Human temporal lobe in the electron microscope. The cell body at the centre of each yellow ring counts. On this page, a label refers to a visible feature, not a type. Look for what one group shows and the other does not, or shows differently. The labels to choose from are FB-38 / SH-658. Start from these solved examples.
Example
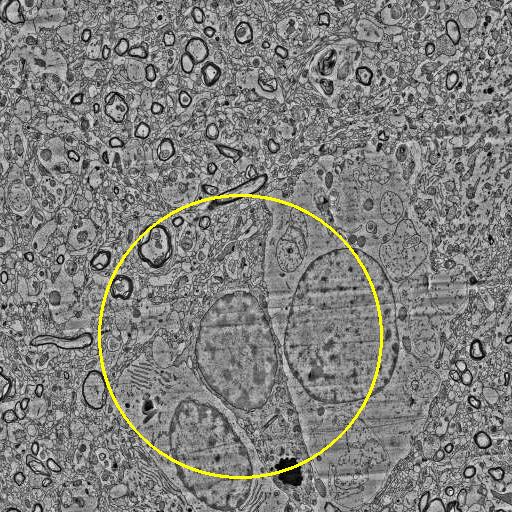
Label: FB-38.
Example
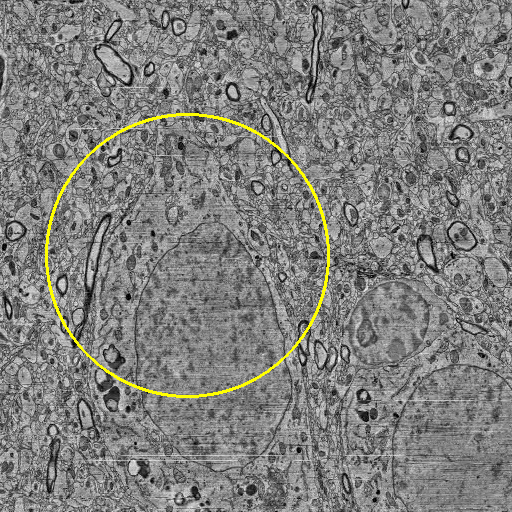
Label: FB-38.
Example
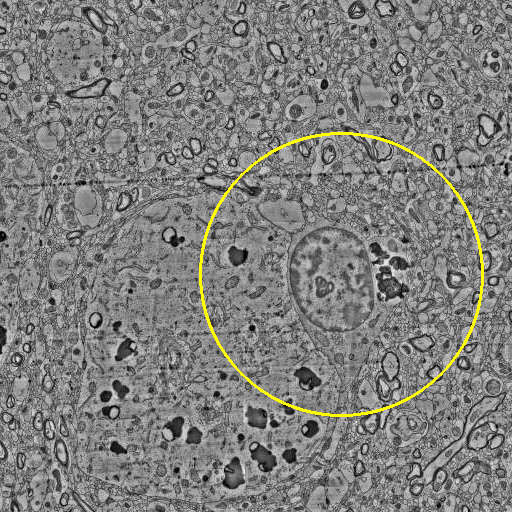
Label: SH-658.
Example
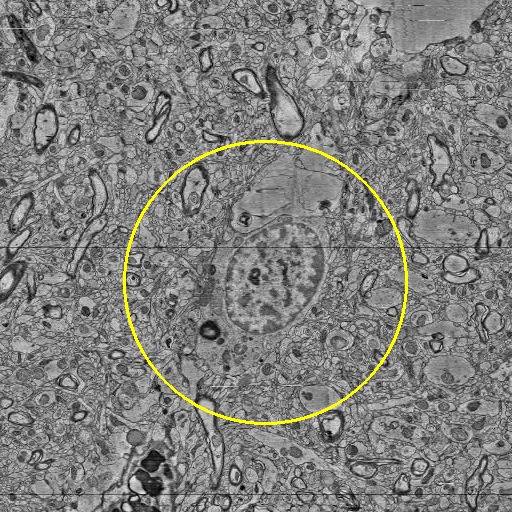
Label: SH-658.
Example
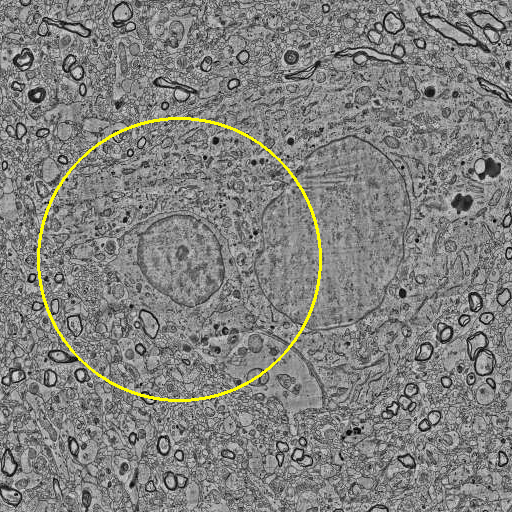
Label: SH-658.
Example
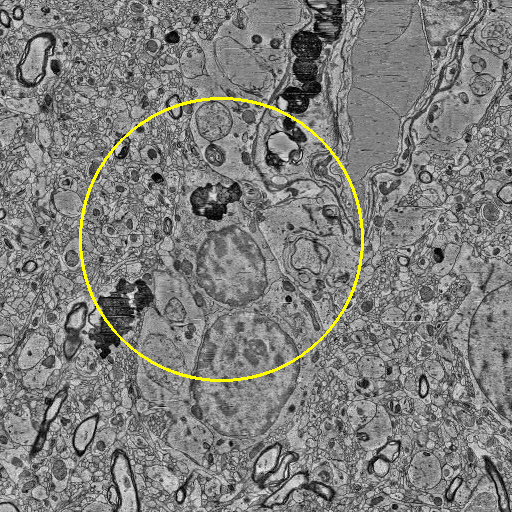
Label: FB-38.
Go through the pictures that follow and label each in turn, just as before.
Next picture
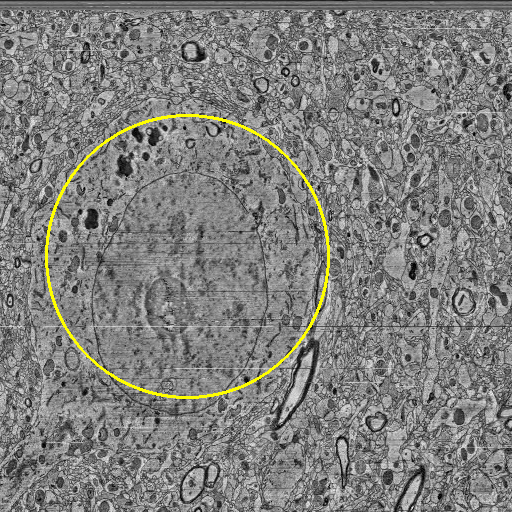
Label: SH-658.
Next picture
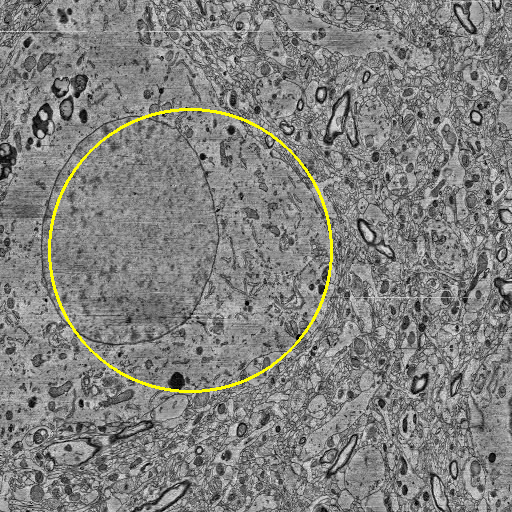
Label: FB-38.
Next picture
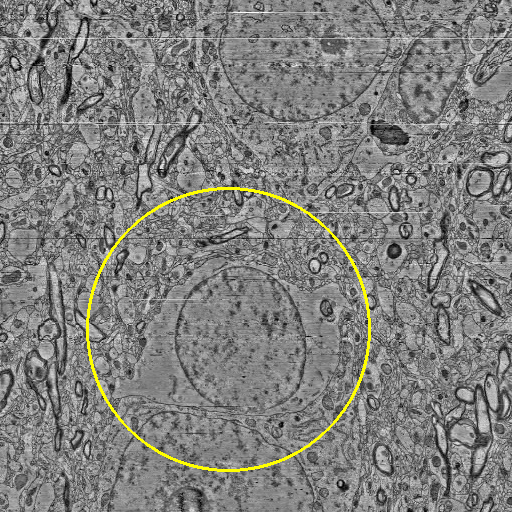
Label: FB-38.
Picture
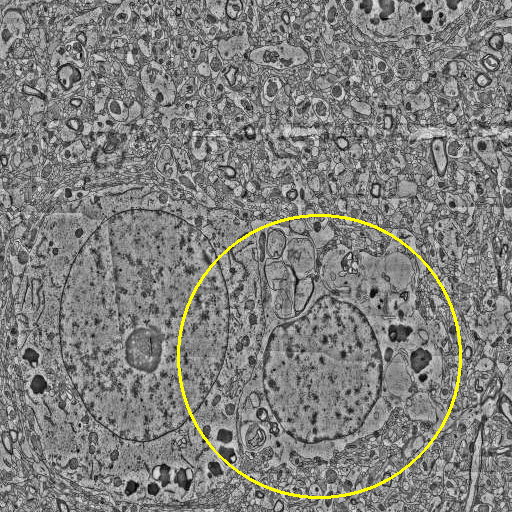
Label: FB-38.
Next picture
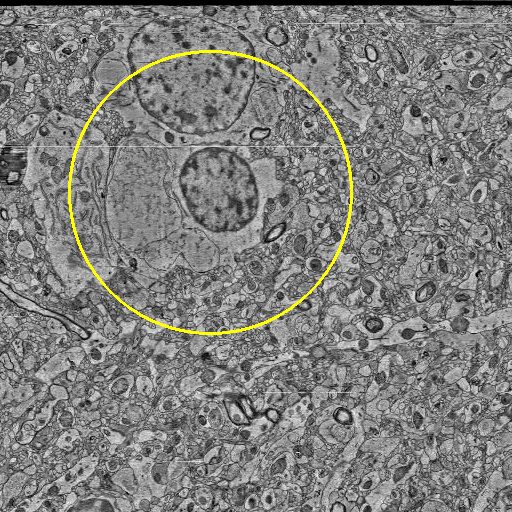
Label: FB-38.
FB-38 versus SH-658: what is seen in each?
In FB-38: no nucleolus seen. In SH-658: nucleolus seen.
